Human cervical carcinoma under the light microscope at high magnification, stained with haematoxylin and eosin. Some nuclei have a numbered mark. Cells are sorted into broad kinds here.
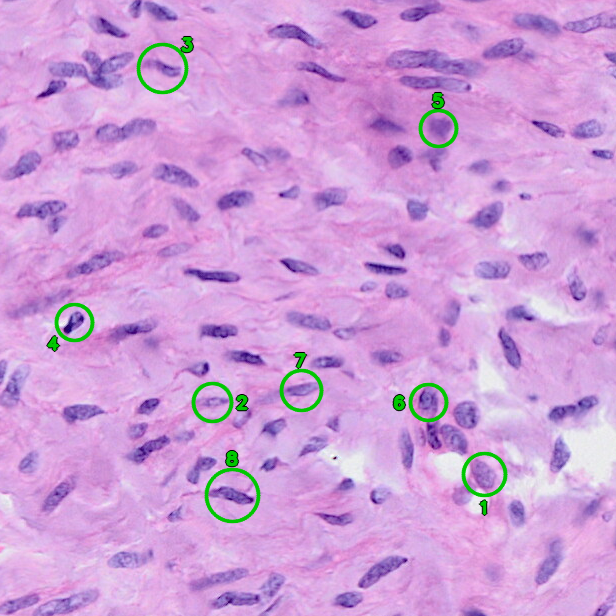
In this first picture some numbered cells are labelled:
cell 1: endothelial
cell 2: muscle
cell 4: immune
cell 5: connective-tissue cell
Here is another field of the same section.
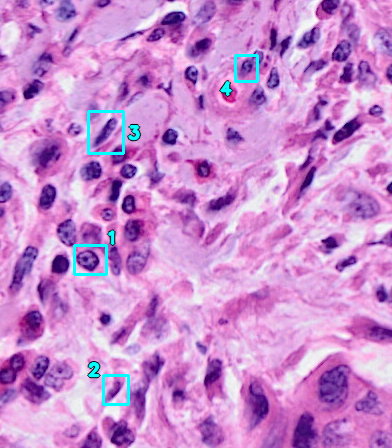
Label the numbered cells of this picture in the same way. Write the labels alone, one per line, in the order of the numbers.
immune
connective-tissue cell
immune
endothelial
